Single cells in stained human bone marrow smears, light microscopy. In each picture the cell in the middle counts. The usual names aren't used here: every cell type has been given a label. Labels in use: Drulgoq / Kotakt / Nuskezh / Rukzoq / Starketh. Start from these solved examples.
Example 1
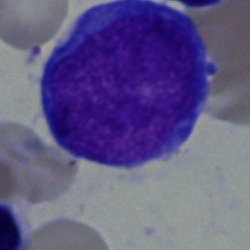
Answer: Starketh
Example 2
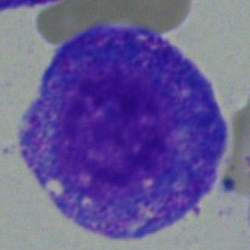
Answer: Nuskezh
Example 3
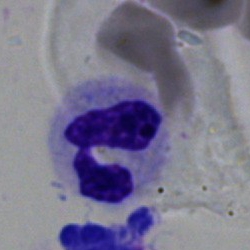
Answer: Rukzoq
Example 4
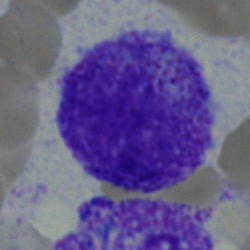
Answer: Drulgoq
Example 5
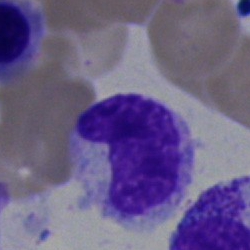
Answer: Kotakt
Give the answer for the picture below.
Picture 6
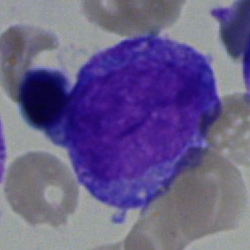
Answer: Nuskezh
